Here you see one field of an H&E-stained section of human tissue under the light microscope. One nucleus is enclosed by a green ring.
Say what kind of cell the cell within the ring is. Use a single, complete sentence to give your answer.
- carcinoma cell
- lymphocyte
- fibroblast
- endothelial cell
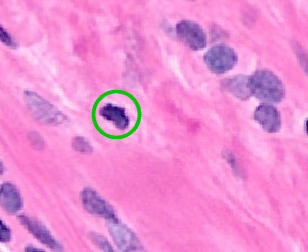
In cellular terms, the cell within the ring is a lymphocyte.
